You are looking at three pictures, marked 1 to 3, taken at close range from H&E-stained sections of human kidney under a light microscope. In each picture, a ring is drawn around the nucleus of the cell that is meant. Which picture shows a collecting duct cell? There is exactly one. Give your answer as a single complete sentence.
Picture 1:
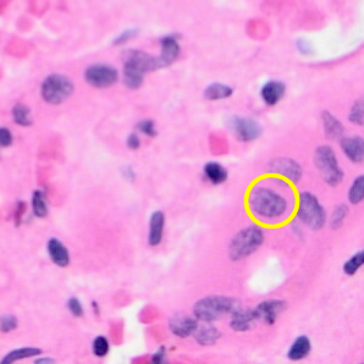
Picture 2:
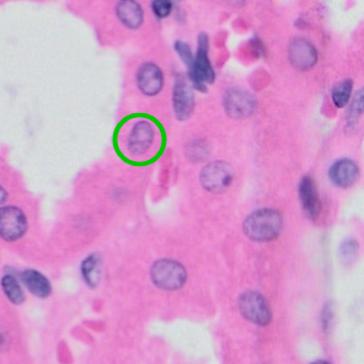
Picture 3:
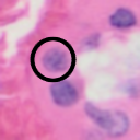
It is picture 1 that shows the collecting duct cell.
